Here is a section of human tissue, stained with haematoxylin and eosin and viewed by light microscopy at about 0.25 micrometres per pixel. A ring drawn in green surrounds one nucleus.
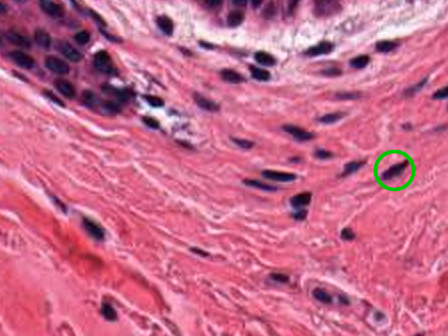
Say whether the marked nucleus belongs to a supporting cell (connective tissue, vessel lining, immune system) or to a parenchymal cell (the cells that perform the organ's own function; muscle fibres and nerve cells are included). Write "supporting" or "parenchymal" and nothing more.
supporting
